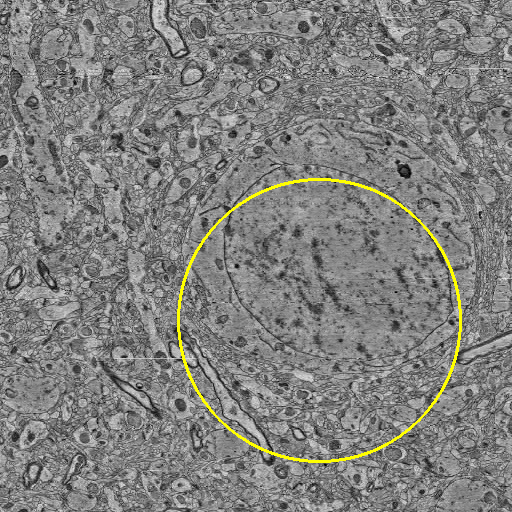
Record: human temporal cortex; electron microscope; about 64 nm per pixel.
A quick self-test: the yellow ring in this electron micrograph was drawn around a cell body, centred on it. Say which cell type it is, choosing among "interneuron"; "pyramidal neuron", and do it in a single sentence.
The yellow-ringed cell is a pyramidal neuron.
